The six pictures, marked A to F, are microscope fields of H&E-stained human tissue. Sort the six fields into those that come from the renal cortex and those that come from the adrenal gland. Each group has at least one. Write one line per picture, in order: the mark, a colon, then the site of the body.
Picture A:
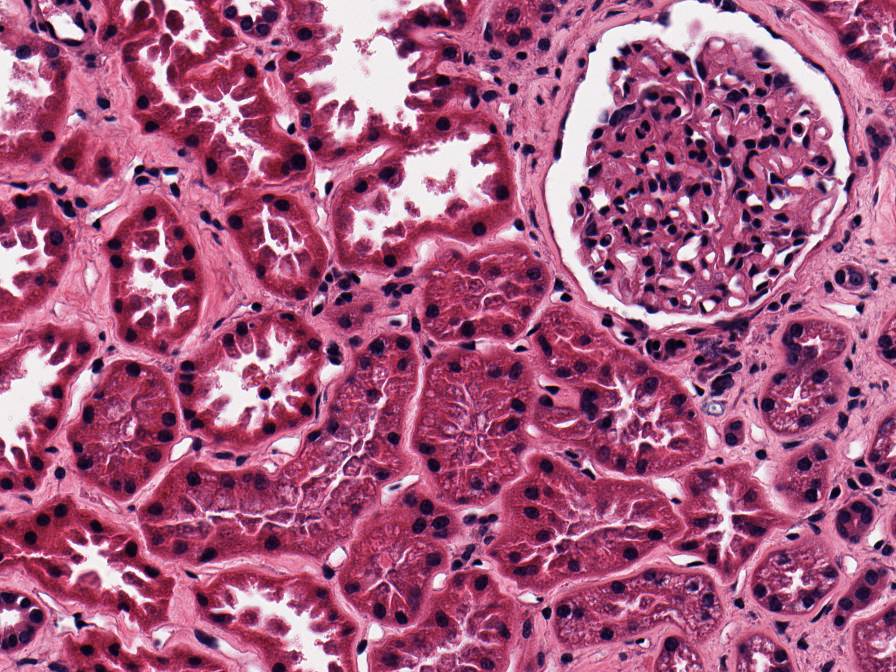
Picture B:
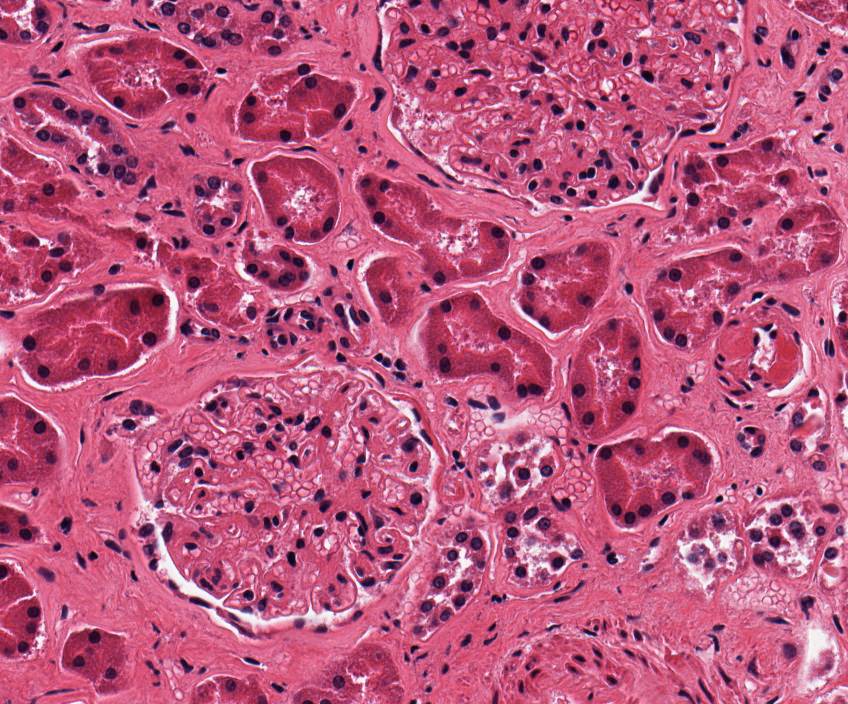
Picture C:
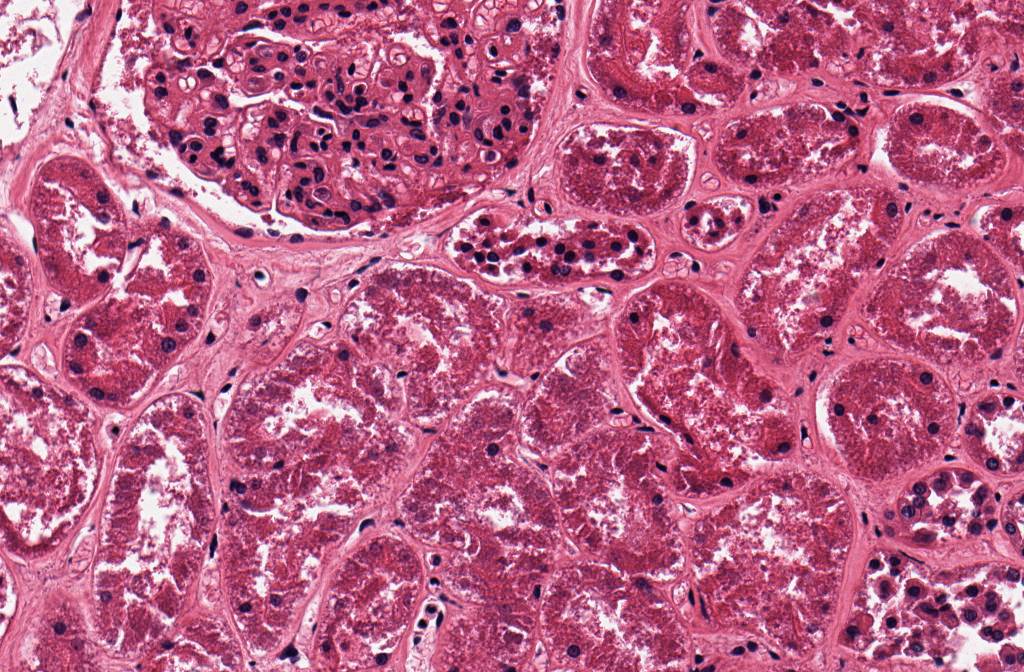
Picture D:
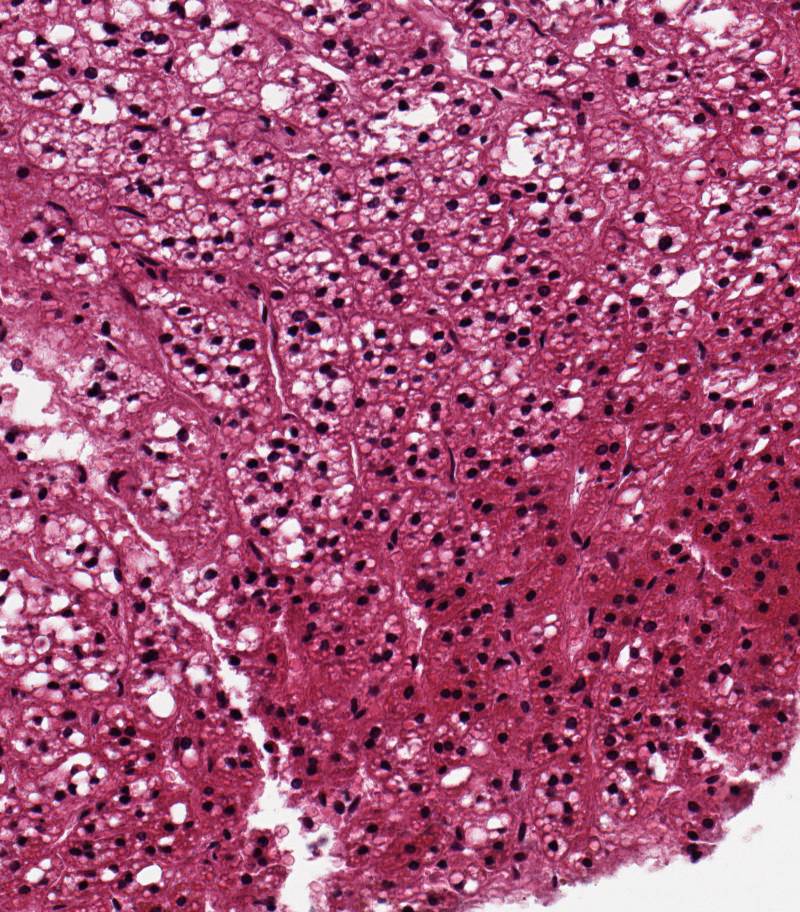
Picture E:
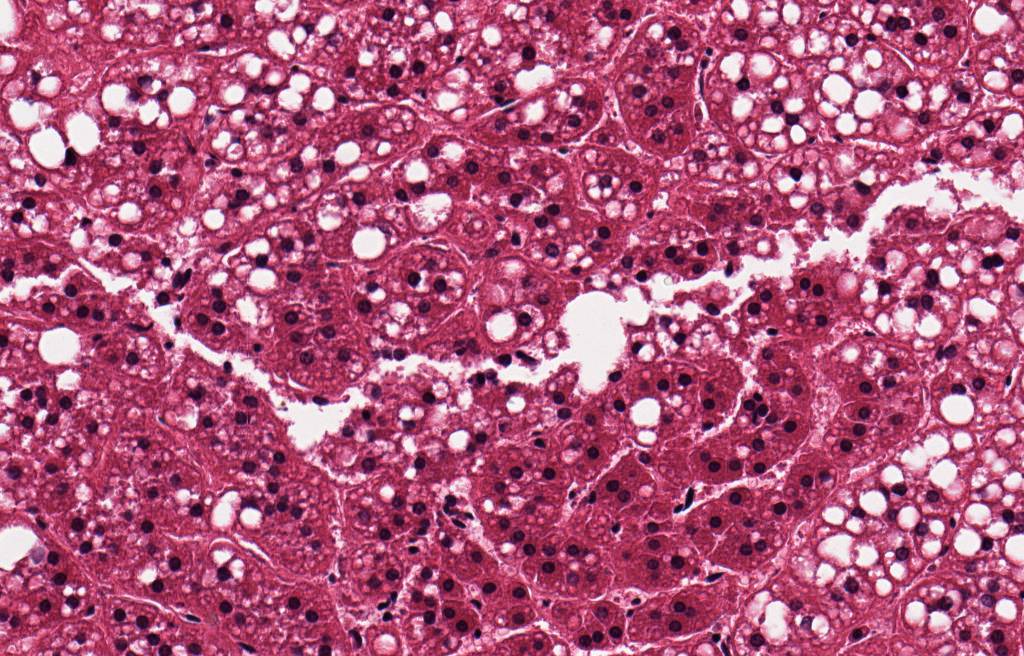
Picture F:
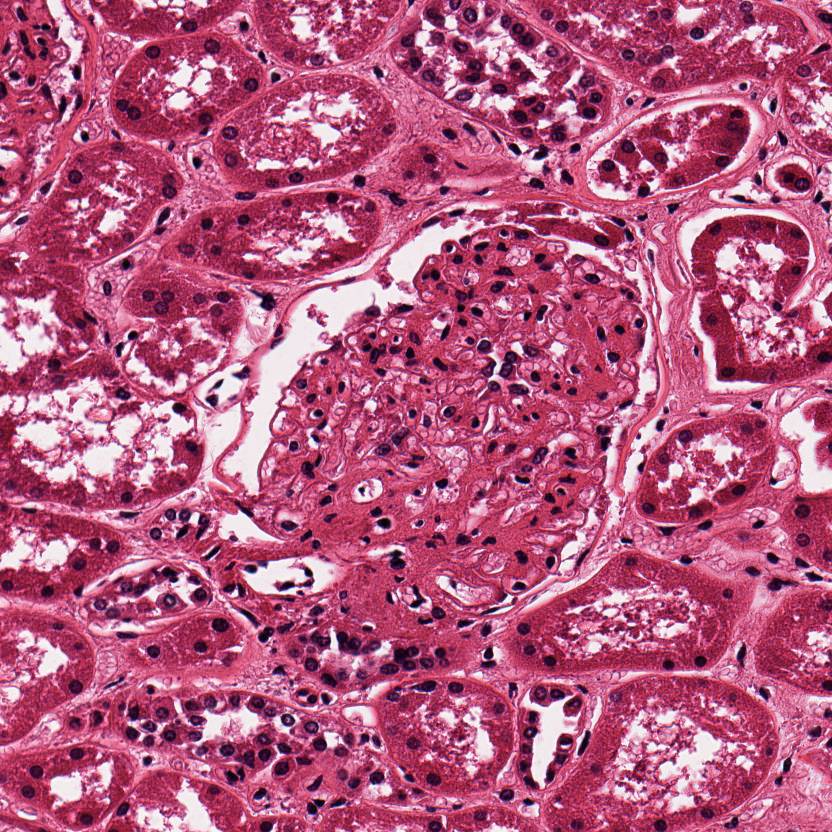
A: renal cortex
B: renal cortex
C: renal cortex
D: adrenal gland
E: adrenal gland
F: renal cortex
